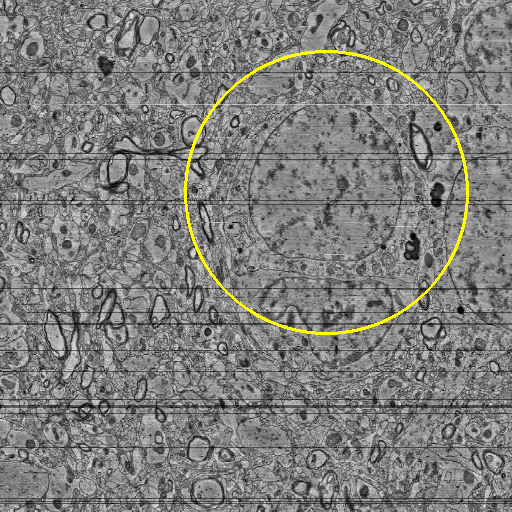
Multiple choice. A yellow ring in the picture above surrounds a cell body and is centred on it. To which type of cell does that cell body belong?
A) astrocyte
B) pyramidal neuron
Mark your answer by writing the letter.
B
